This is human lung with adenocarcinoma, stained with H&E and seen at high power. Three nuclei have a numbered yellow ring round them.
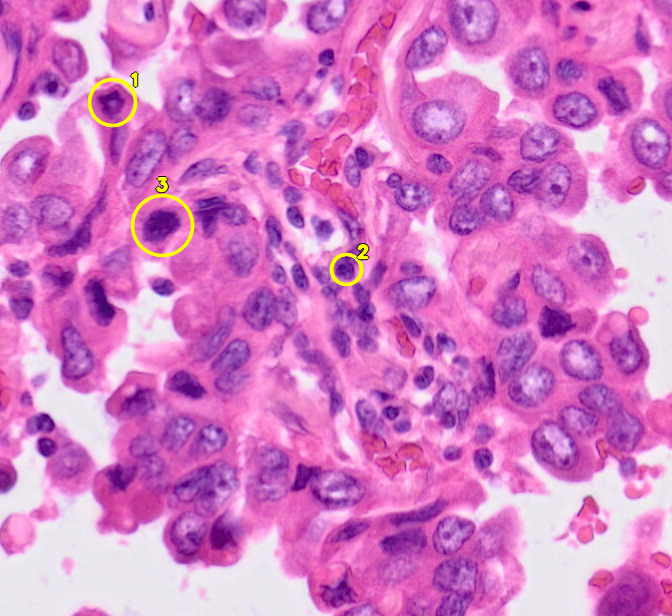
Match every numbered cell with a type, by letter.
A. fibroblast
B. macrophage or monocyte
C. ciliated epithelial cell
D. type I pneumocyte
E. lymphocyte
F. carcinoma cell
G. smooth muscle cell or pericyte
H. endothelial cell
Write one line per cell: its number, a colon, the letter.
1: F
2: E
3: F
